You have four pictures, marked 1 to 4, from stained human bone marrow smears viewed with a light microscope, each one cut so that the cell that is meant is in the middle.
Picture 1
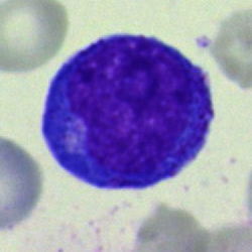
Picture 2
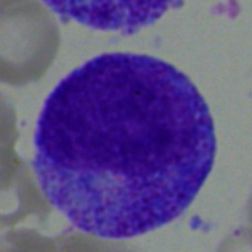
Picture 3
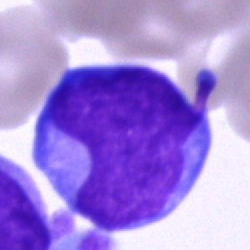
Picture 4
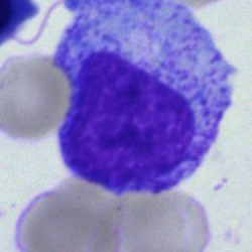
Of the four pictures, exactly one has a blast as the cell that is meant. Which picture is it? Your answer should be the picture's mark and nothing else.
3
